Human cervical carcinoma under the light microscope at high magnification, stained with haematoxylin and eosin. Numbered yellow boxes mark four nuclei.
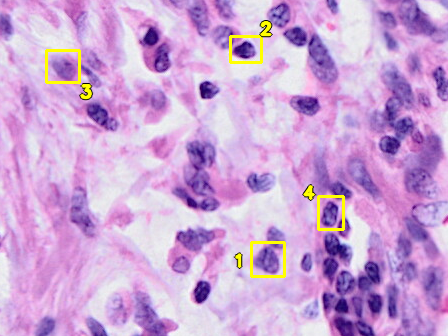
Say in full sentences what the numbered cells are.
Cells 1, 2 and 4 are lymphocytes. Cell 3 is a fibroblast.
